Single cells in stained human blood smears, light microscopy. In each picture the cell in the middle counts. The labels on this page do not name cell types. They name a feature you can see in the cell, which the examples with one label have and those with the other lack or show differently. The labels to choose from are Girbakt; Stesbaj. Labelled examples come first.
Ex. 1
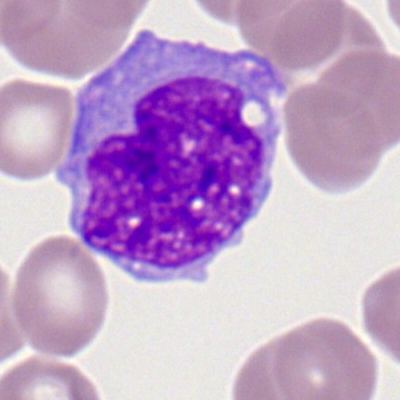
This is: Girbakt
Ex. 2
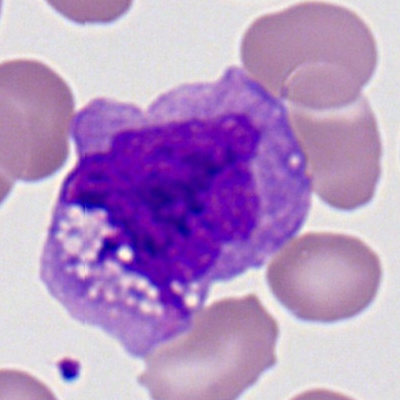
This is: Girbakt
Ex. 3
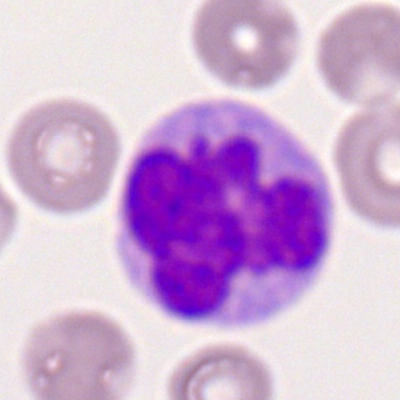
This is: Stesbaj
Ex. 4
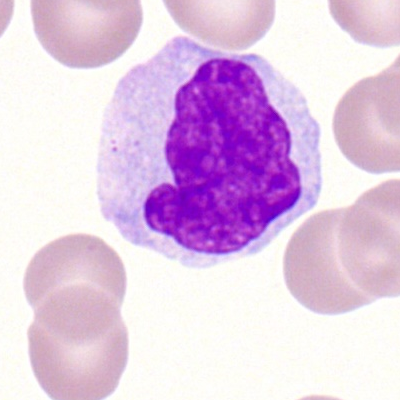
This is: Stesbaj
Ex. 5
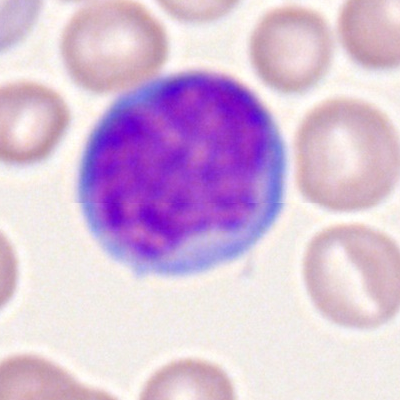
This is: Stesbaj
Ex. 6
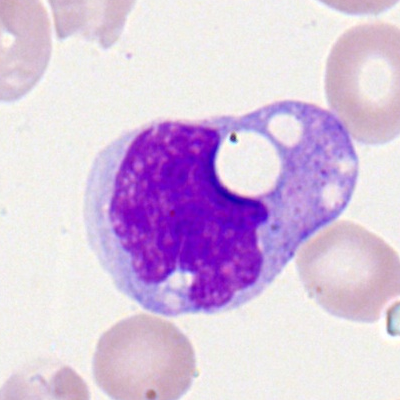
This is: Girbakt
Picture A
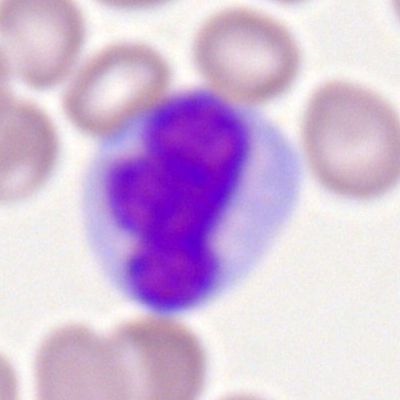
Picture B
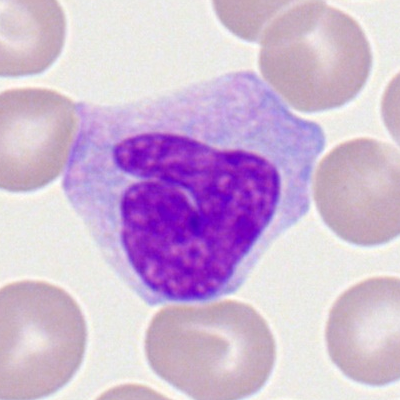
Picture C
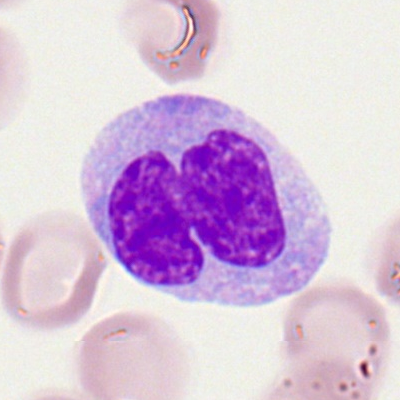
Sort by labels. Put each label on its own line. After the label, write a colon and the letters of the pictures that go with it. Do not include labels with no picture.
Stesbaj: A, B, C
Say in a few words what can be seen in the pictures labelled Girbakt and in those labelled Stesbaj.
In Girbakt: vacuoles present. In Stesbaj: no vacuoles.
